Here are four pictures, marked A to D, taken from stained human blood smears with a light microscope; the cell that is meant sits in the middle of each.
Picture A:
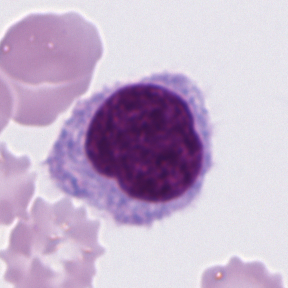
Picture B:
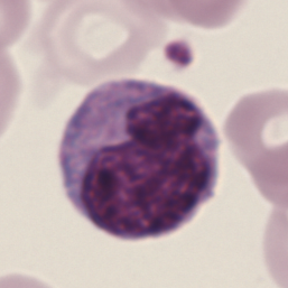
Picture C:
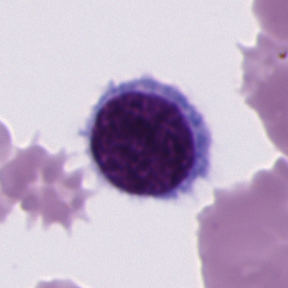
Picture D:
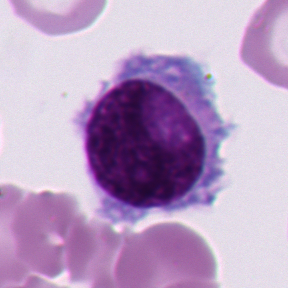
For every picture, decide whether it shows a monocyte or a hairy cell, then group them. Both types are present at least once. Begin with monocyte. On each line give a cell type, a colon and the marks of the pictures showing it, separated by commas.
monocyte: B
hairy cell: A, C, D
